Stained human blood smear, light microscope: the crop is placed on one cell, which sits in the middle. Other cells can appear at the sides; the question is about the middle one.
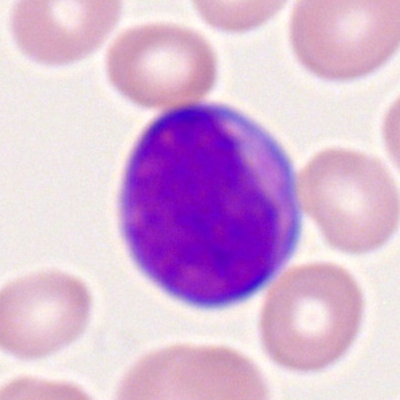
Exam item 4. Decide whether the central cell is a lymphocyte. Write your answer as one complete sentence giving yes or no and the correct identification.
No, the middle one is a myeloblast rather than a lymphocyte.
